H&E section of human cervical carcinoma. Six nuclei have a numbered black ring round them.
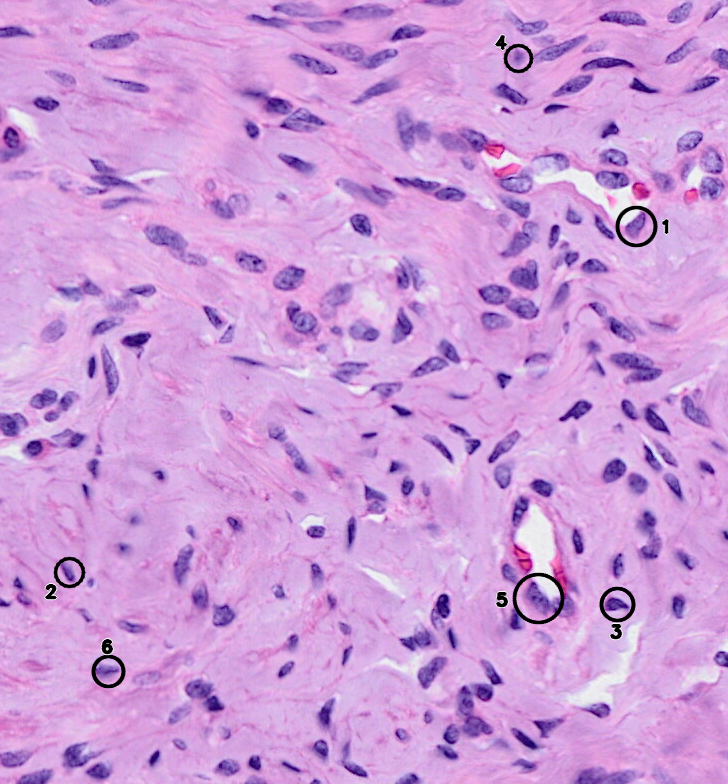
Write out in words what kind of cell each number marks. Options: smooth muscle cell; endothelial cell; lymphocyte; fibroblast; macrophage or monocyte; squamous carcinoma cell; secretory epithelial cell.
Cells 1 and 5 are endothelial cells. Cells 2, 3, 4 and 6 are fibroblasts.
